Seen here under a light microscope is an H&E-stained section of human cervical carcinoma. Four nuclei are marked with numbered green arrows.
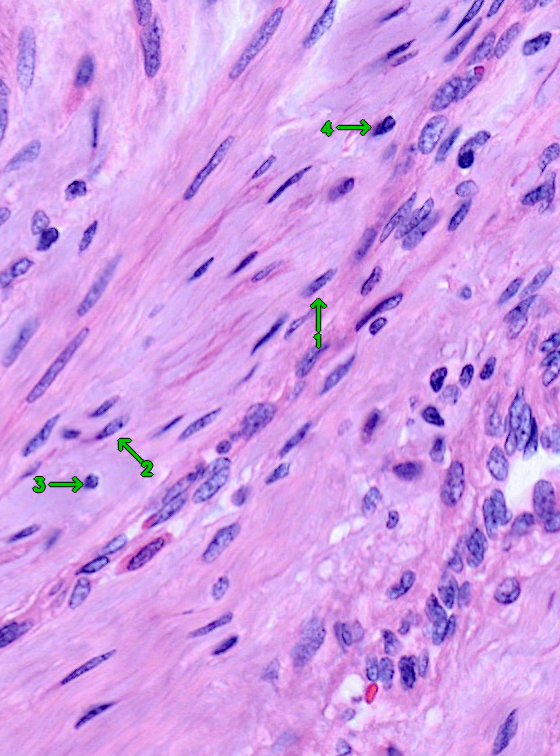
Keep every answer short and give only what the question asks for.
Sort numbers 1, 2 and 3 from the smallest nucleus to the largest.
3, 2, 1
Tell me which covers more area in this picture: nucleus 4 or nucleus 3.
4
